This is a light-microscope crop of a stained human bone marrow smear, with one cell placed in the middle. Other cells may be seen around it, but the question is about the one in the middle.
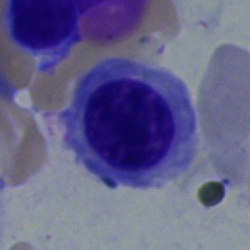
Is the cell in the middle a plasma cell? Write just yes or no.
no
